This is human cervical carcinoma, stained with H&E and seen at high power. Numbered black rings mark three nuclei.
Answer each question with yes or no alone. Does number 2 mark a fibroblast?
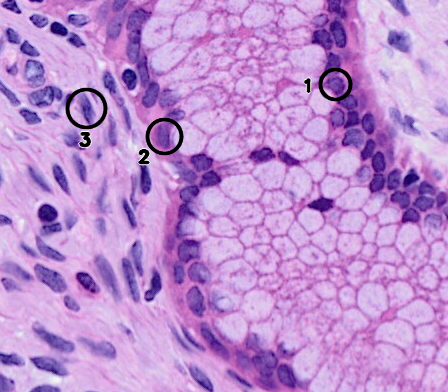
no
